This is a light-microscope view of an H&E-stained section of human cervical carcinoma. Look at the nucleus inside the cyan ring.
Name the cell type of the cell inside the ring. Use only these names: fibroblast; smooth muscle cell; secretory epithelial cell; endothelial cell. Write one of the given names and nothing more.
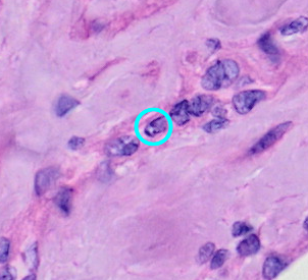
endothelial cell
